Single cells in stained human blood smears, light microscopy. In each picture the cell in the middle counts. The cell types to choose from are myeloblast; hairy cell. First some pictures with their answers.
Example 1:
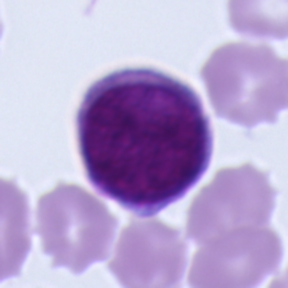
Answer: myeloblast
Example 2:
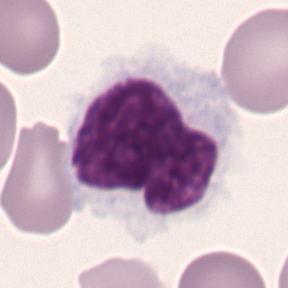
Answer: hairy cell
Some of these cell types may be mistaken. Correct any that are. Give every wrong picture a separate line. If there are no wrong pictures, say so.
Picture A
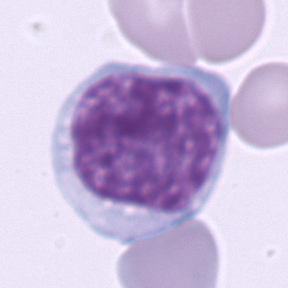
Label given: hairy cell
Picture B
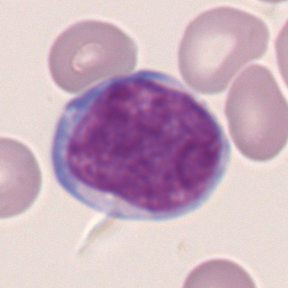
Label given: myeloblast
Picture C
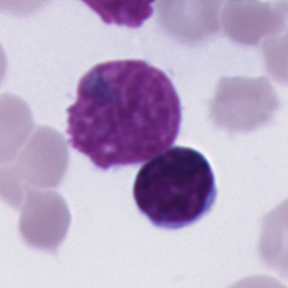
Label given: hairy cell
A is labelled hairy cell; correct label: myeloblast
C is labelled hairy cell; correct label: myeloblast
